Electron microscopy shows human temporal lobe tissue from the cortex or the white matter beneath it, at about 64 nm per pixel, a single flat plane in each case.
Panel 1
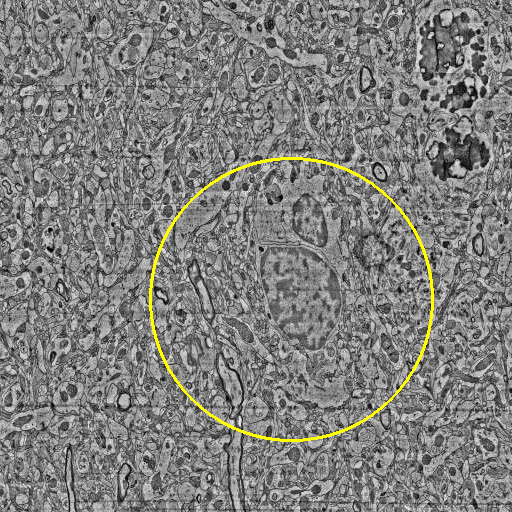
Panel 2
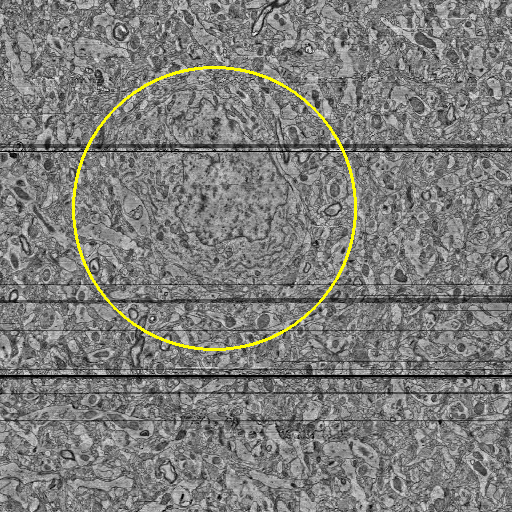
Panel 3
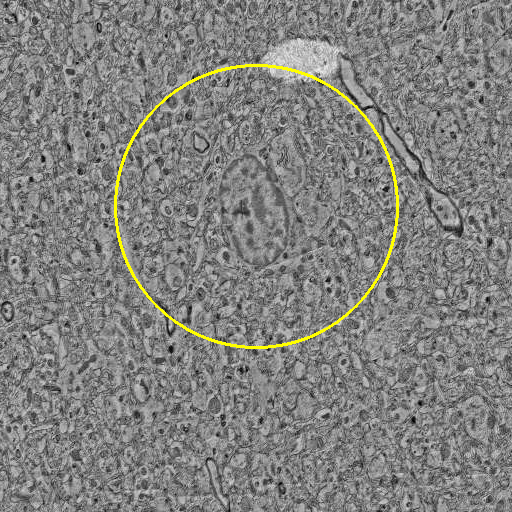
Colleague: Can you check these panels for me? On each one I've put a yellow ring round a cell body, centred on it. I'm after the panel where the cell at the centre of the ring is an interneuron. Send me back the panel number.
2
